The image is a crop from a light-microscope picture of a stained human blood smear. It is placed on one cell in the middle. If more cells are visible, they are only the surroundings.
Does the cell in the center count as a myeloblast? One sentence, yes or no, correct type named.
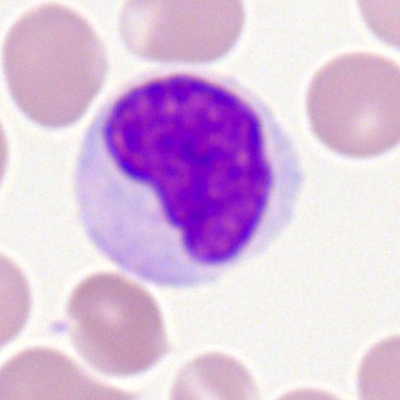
No, instead of being a myeloblast, the middle cell is a monocyte.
